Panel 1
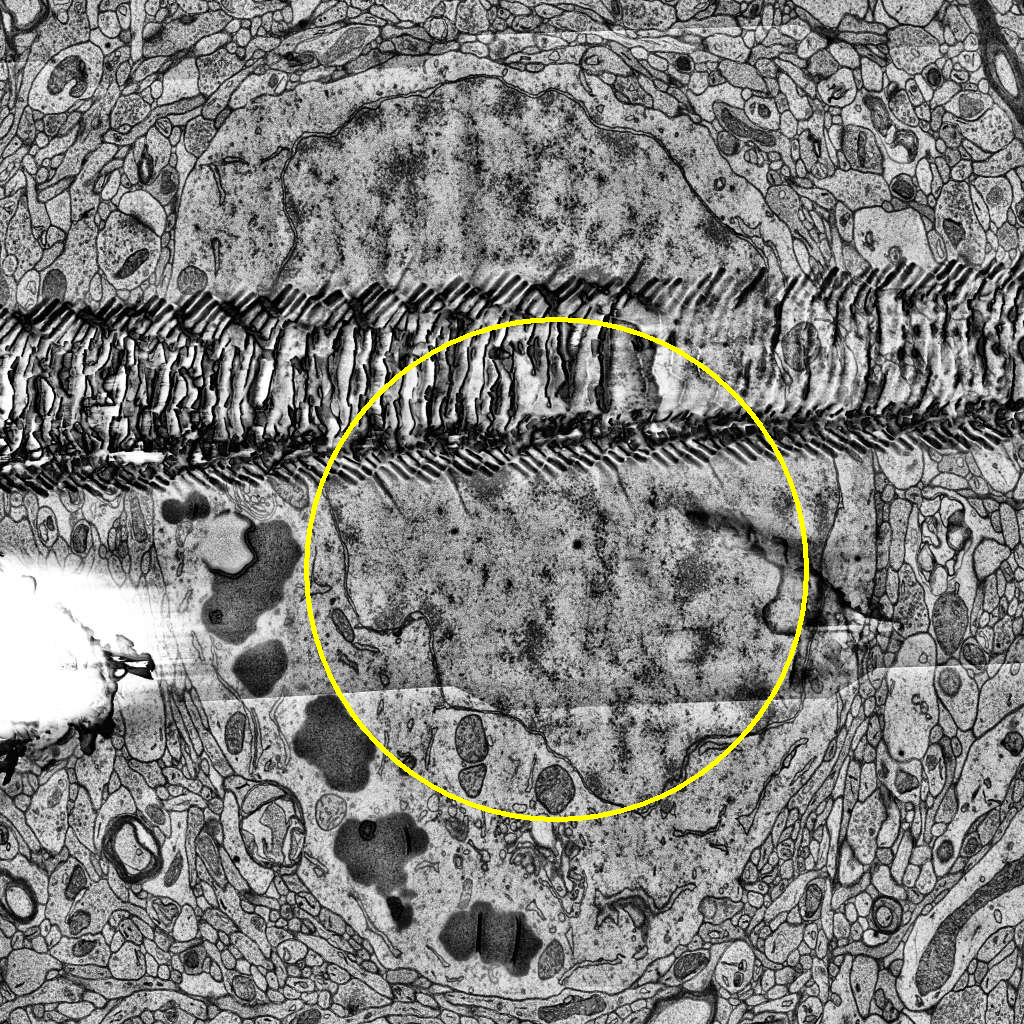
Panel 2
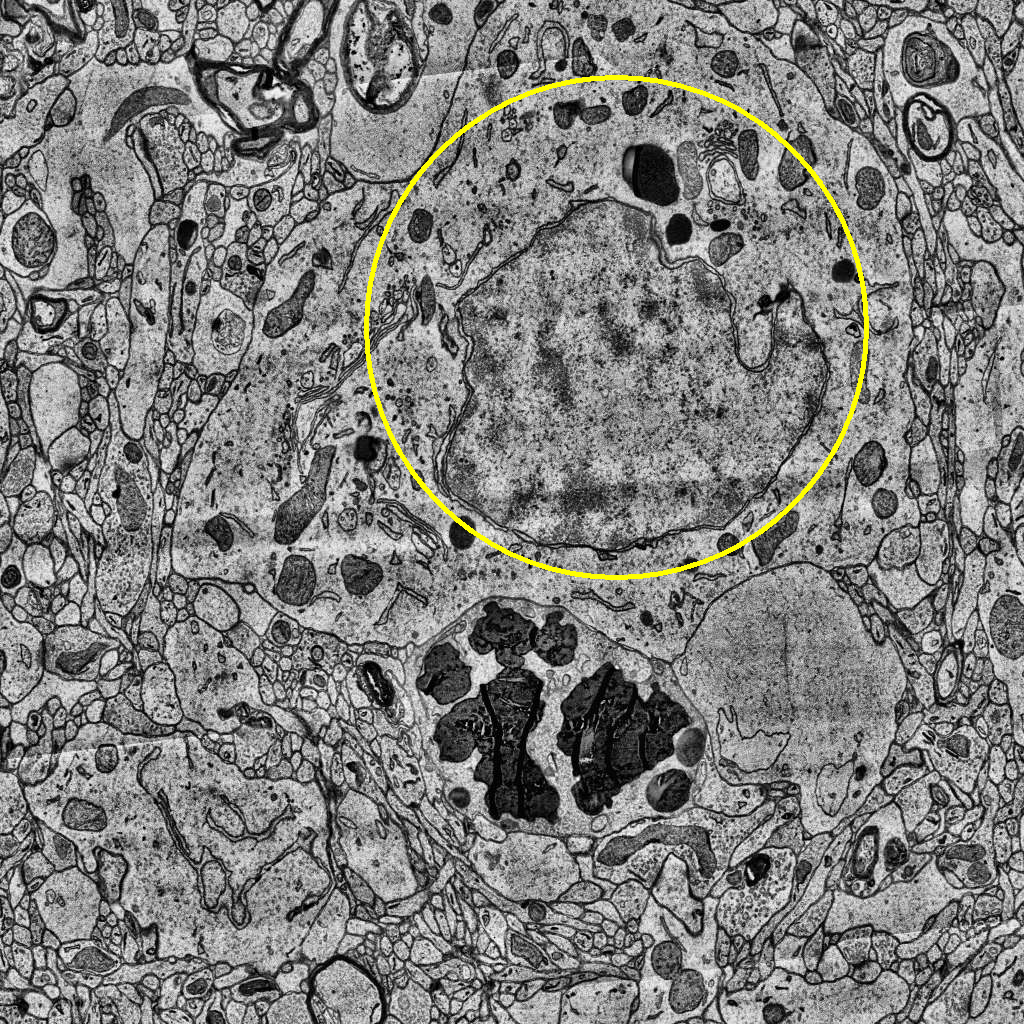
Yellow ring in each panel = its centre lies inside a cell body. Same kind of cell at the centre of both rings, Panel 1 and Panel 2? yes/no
yes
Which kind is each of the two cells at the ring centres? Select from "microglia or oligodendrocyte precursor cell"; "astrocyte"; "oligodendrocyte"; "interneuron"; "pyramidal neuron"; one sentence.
Each of the two pictures has an interneuron at the ring centre.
